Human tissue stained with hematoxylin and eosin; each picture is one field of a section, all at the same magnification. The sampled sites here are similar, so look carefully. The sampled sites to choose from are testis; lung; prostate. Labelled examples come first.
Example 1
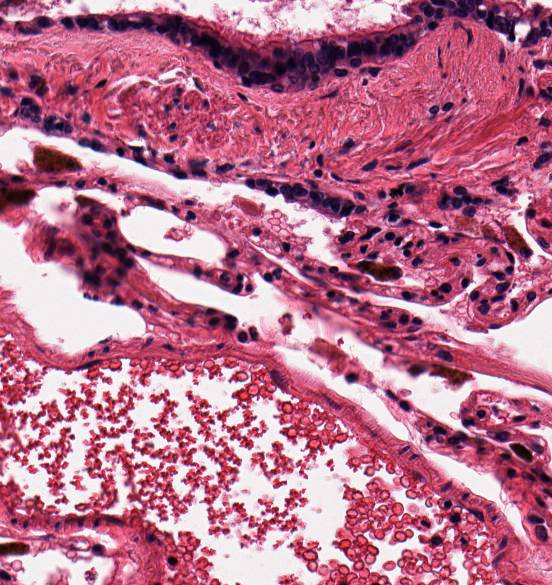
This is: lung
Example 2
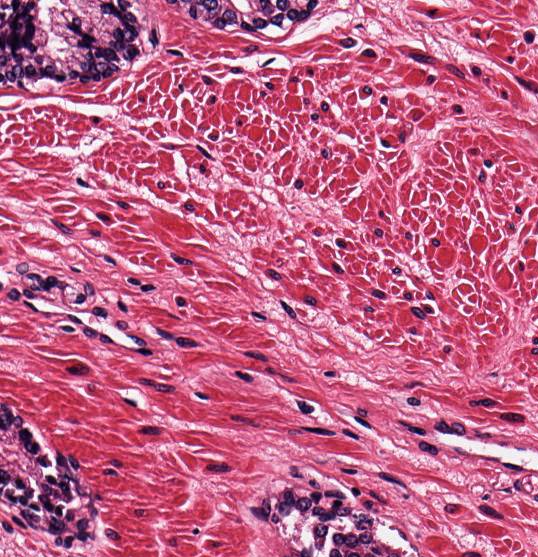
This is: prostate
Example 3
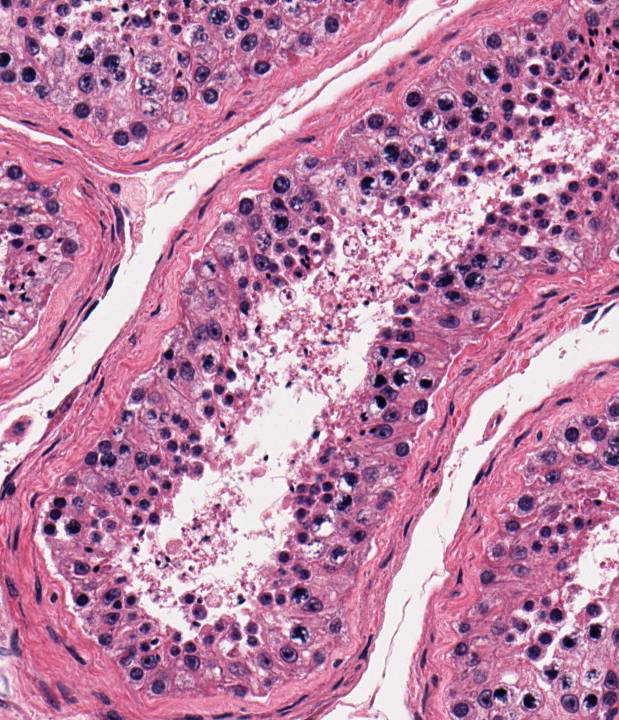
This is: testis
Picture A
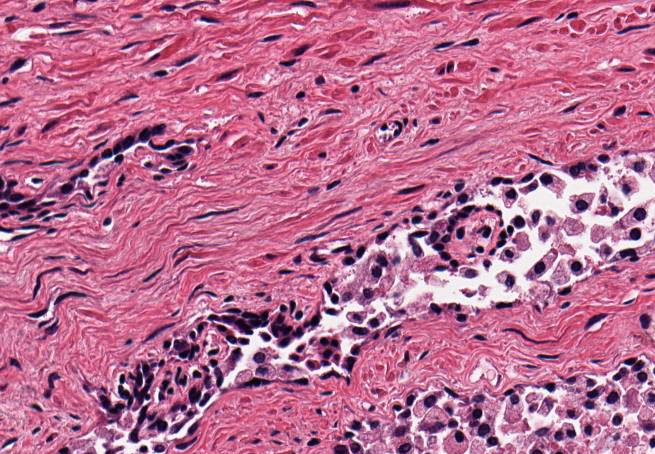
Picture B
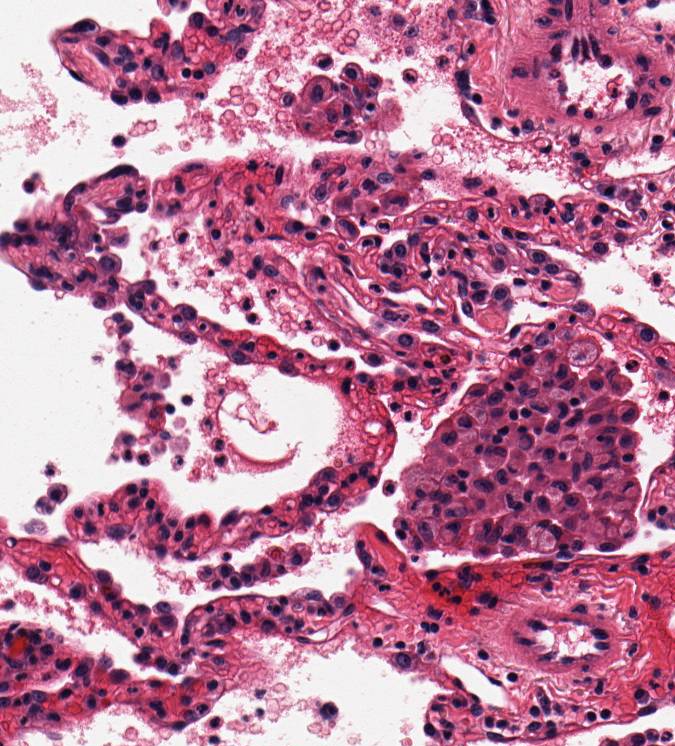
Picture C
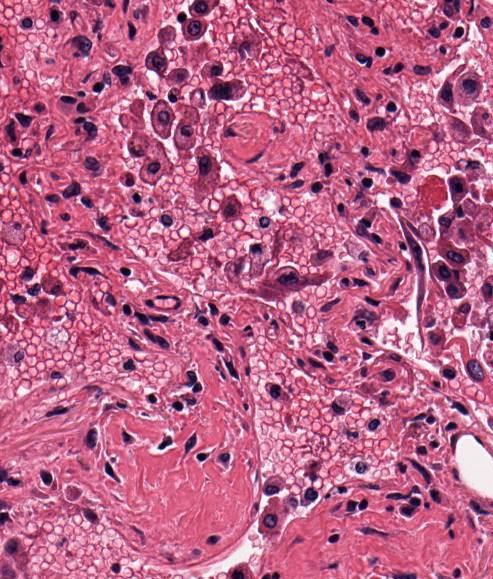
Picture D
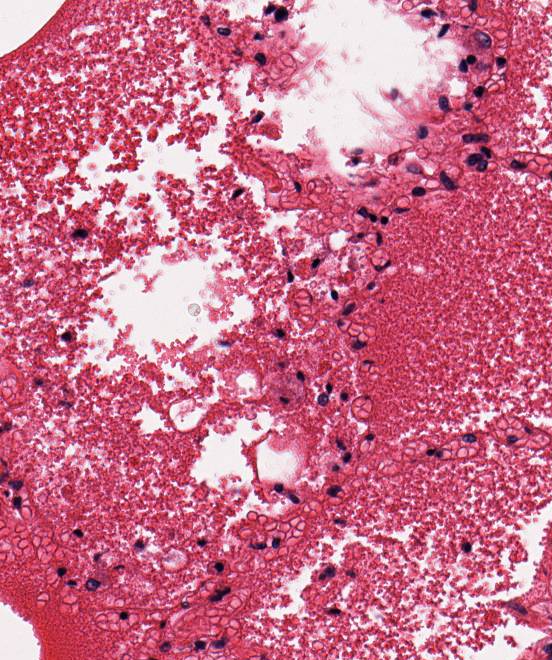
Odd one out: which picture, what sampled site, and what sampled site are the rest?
Different: A, prostate. Others: lung.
